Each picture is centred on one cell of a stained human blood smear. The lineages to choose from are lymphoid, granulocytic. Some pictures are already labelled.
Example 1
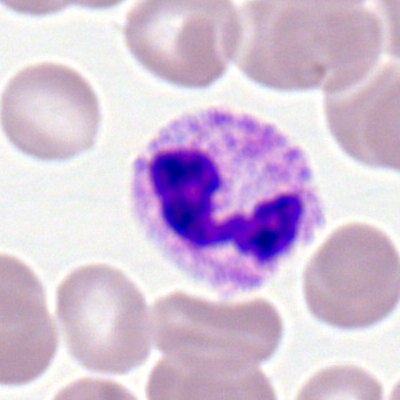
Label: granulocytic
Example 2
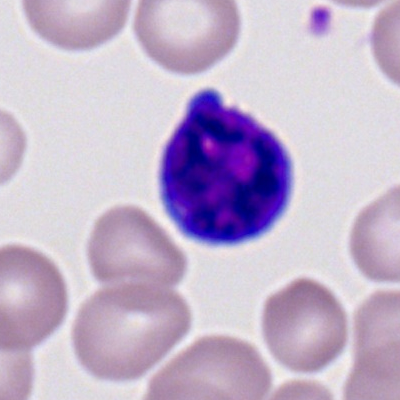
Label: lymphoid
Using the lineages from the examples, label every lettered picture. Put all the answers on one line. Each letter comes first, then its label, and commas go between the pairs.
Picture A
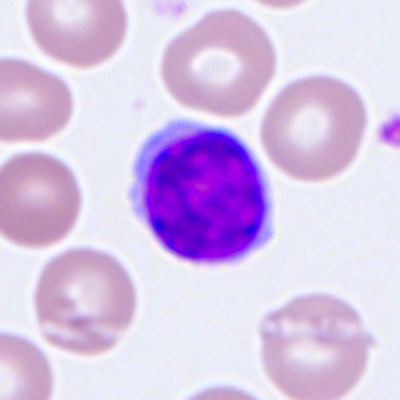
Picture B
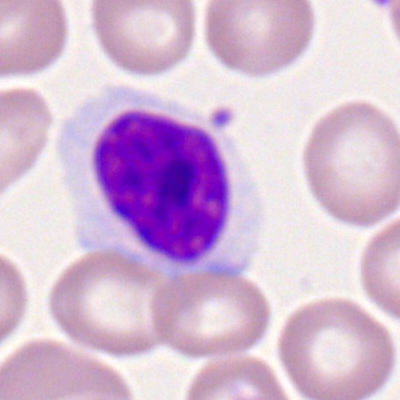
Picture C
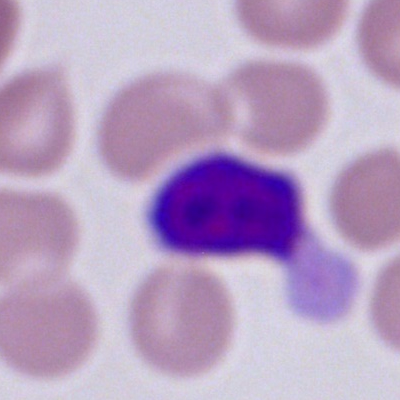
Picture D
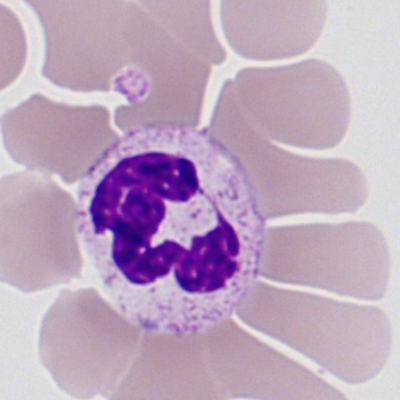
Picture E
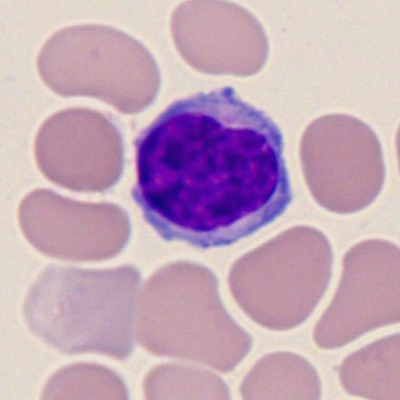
A lymphoid, B lymphoid, C lymphoid, D granulocytic, E lymphoid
